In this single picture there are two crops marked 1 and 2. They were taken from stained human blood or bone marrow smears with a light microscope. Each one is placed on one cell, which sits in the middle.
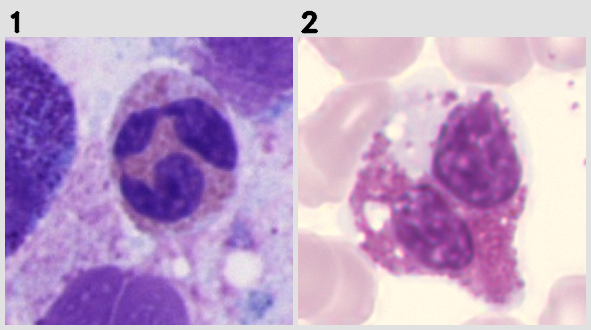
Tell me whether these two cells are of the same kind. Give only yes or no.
yes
